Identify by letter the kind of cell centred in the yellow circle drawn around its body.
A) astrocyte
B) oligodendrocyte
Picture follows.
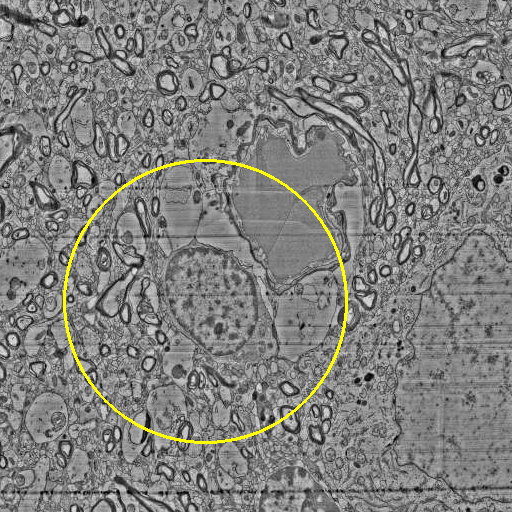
B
